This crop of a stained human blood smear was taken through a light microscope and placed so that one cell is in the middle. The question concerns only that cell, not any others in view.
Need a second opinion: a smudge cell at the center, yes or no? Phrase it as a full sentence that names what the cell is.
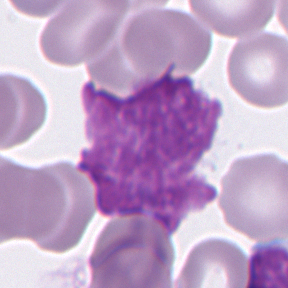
Yes, the cell at the middle is a smudge cell.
